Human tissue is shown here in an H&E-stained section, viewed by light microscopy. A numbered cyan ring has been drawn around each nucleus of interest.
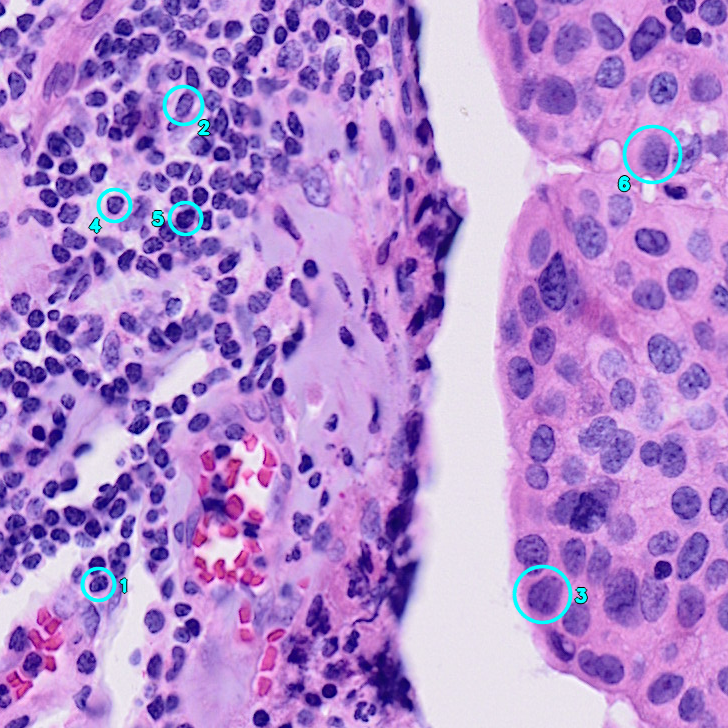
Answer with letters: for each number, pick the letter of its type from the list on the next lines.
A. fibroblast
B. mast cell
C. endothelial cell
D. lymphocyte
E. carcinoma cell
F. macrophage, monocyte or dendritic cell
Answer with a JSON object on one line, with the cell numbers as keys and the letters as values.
{"1": "D", "2": "D", "3": "E", "4": "D", "5": "D", "6": "E"}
